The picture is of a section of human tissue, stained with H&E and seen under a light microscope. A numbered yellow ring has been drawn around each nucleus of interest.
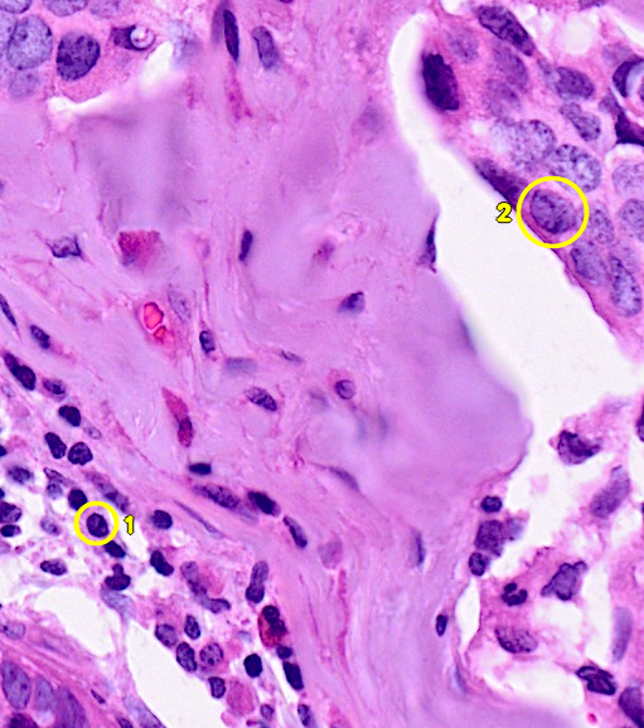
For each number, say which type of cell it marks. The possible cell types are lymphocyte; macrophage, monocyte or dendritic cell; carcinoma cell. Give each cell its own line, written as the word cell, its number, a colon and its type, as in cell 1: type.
cell 1: lymphocyte
cell 2: carcinoma cell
